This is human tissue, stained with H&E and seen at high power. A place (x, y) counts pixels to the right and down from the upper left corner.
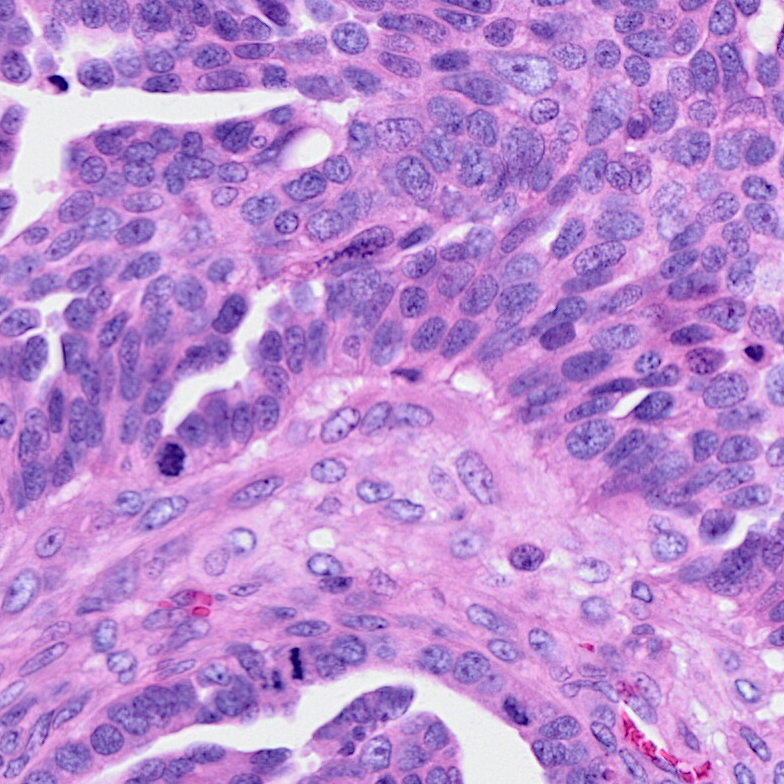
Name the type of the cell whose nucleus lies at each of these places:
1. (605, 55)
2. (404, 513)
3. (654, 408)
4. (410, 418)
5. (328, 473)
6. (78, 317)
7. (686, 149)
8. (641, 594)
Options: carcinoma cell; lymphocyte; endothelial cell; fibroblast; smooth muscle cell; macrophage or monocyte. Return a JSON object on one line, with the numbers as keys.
{"1": "carcinoma cell", "2": "fibroblast", "3": "carcinoma cell", "4": "fibroblast", "5": "fibroblast", "6": "carcinoma cell", "7": "carcinoma cell", "8": "fibroblast"}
